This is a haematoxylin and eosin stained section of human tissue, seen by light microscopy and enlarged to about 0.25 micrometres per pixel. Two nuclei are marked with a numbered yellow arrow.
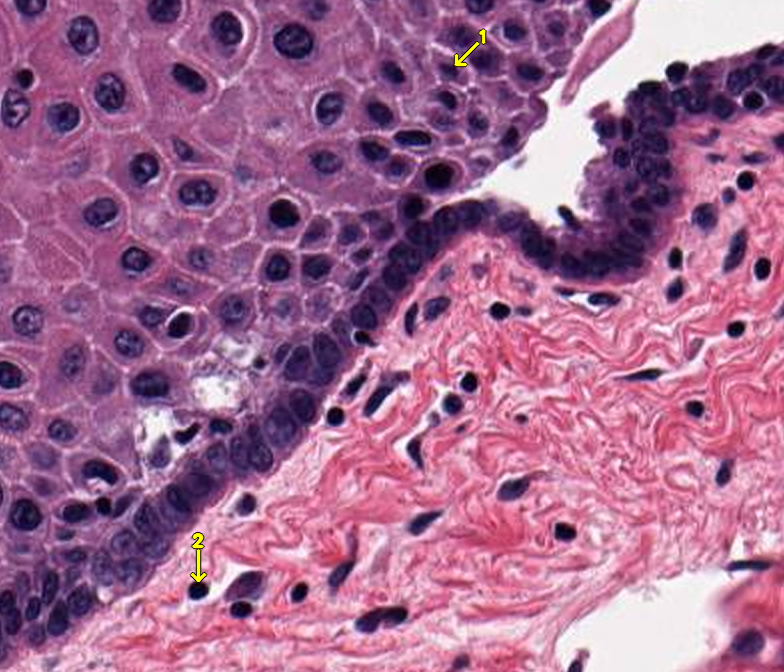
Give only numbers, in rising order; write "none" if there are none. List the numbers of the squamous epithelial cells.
1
